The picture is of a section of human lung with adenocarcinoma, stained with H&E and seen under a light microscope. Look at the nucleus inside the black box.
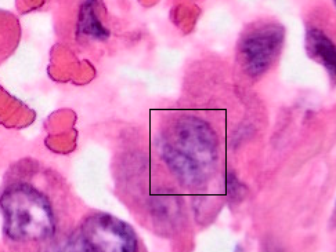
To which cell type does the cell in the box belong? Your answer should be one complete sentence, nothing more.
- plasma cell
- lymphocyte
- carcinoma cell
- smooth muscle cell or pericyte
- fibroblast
In terms of identity, the cell in the box is a carcinoma cell.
